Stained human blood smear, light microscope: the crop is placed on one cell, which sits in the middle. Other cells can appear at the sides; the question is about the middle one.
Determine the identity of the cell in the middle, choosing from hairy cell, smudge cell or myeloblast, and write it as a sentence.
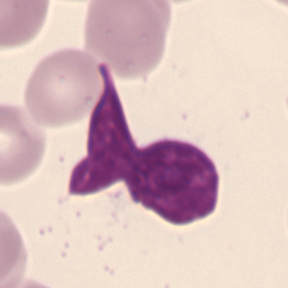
The middle position in this crop is taken by a smudge cell.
